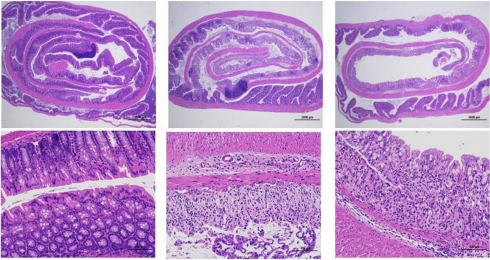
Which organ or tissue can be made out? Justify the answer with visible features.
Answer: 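Colon. The gut is rolled into a coil. The mucosa has straight tubular crypts and no villi. The crypts contain many pale goblet cells.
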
